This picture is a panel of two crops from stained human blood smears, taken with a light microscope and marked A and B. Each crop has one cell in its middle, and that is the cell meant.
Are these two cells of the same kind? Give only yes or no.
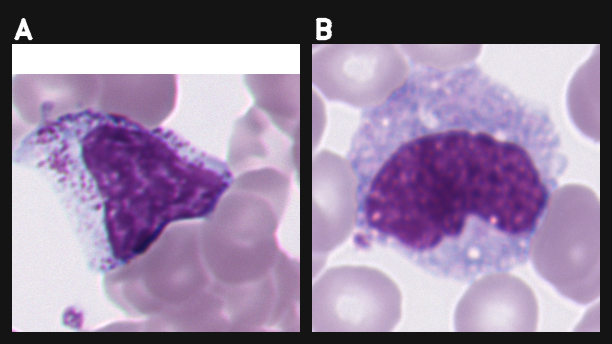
no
